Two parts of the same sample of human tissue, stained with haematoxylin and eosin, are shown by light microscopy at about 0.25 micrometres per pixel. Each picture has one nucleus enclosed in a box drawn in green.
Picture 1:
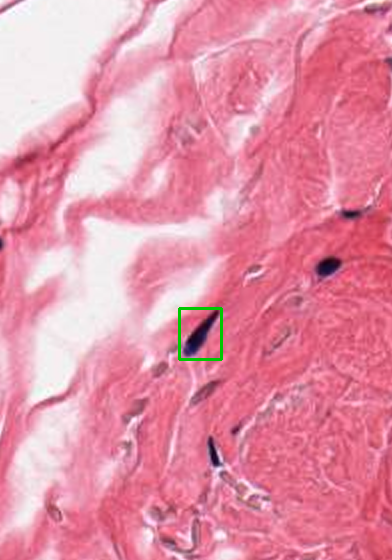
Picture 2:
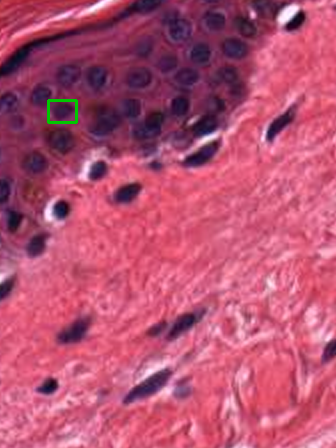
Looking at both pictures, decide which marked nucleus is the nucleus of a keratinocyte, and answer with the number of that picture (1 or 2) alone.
2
